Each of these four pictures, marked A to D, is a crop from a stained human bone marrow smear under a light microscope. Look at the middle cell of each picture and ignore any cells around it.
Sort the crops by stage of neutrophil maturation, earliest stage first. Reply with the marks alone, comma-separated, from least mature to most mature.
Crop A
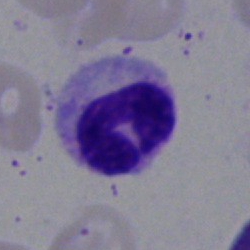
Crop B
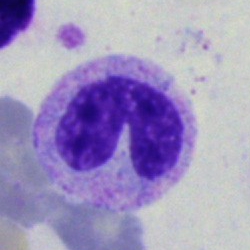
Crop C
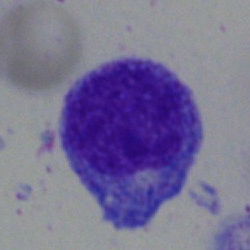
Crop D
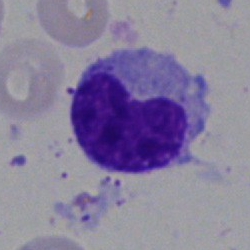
C, D, B, A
